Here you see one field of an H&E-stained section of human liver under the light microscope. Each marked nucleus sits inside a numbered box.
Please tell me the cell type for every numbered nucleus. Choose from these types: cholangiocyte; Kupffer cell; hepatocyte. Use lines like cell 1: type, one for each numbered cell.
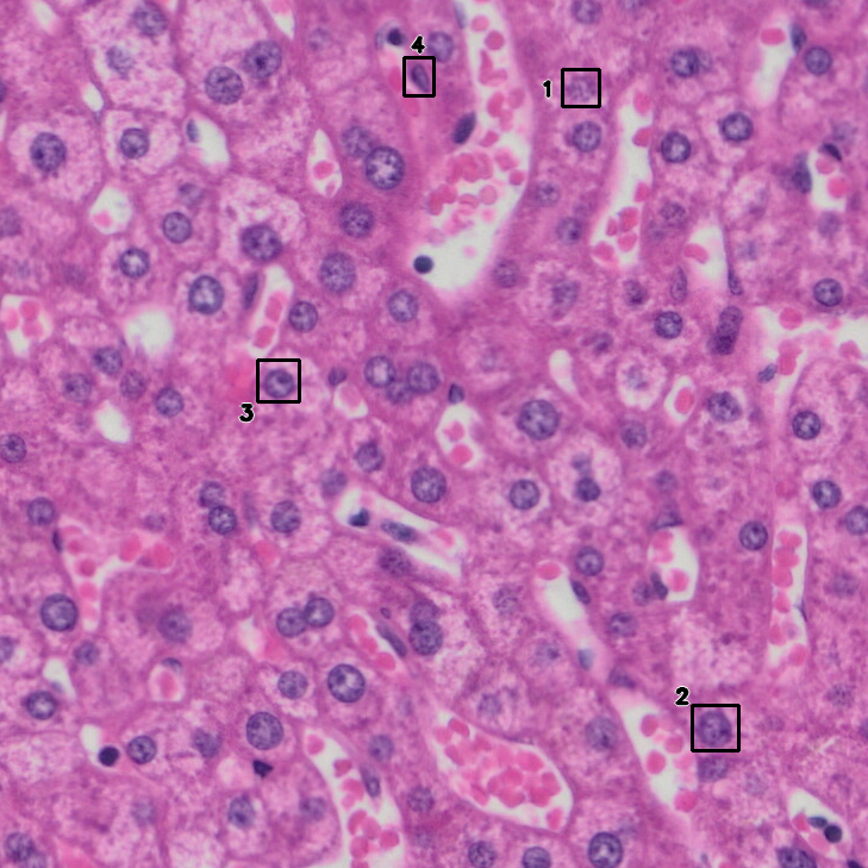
cell 1: hepatocyte
cell 2: hepatocyte
cell 3: hepatocyte
cell 4: Kupffer cell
